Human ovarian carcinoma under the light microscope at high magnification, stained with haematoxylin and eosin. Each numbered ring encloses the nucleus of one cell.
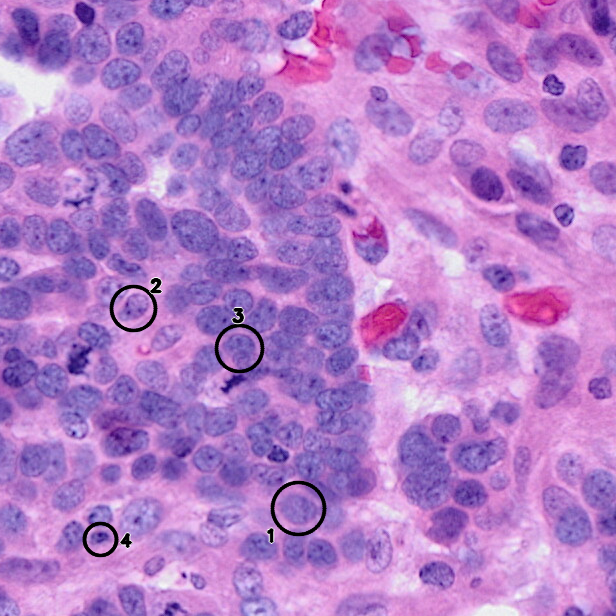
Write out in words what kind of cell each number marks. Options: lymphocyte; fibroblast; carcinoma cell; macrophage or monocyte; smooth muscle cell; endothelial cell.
Cell 1 is a carcinoma cell, cell 2 is a macrophage or monocyte, cell 3 is a carcinoma cell and cell 4 is a lymphocyte.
